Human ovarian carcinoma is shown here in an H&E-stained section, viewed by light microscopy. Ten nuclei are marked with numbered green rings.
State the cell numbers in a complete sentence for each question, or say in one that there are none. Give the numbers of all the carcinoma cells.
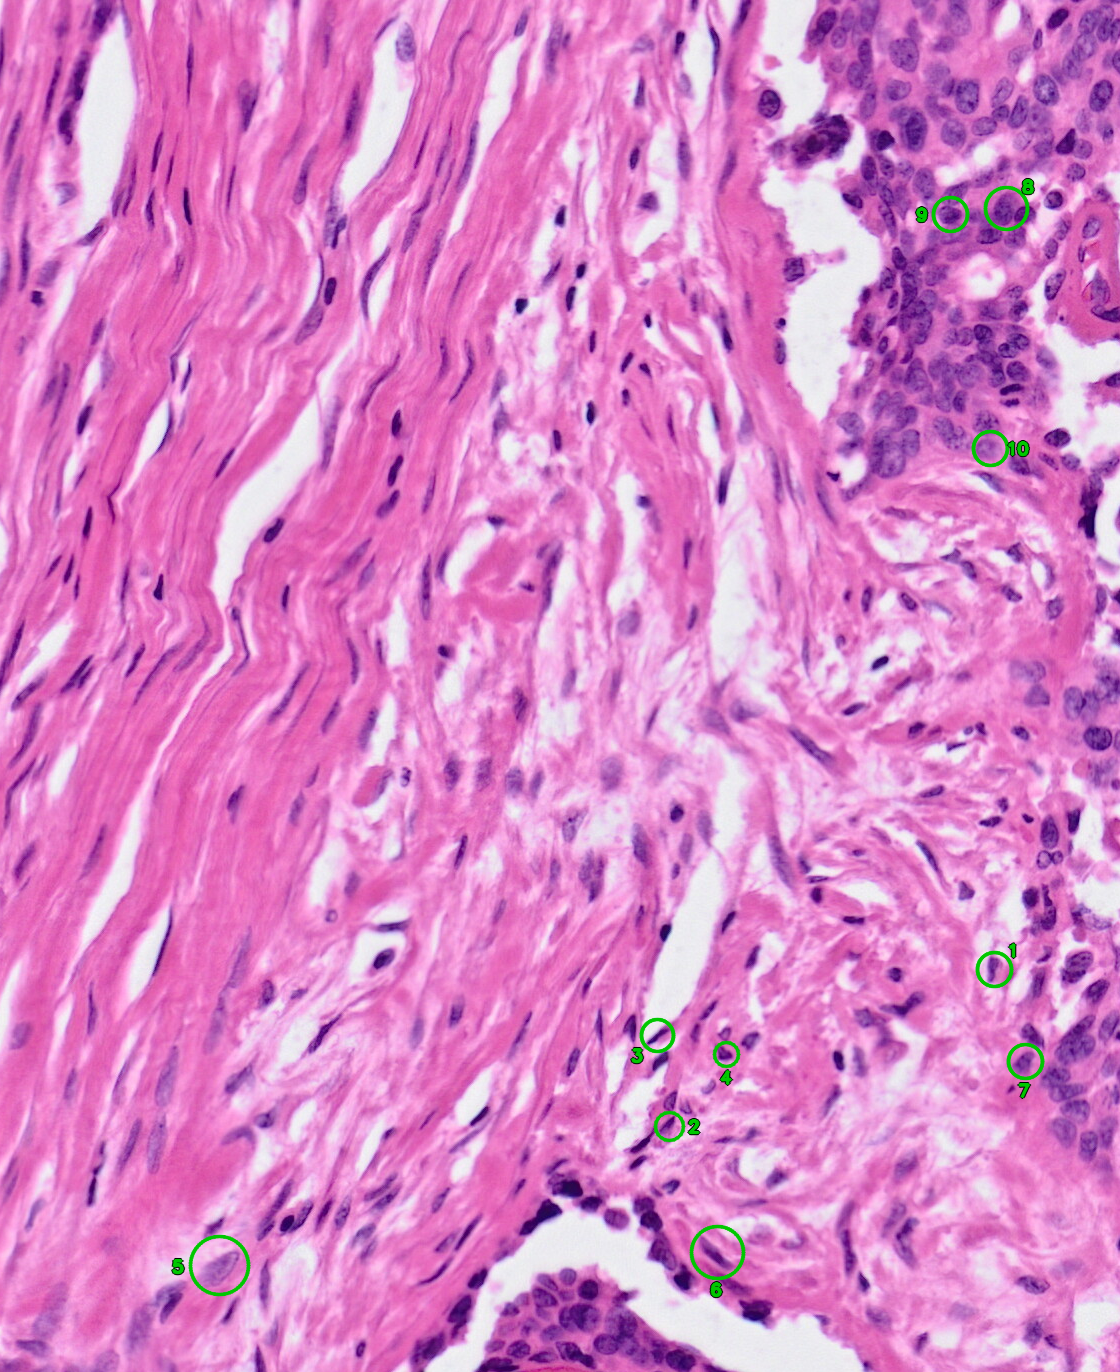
The cells that have numbers 8, 9 and 10 are carcinoma cells.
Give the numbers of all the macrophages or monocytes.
In this set of numbered cells, only cell 7 is a macrophage or monocyte.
